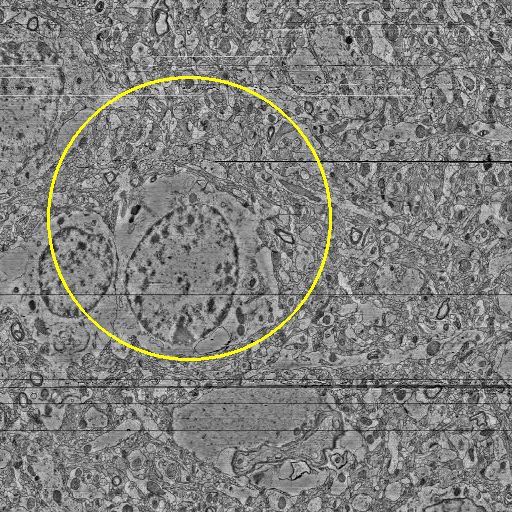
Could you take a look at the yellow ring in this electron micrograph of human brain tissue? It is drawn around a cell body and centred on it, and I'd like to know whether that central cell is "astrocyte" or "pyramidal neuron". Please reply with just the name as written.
astrocyte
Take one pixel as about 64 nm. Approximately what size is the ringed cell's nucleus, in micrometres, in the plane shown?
Approximately 9 by 7 micrometers in this plane.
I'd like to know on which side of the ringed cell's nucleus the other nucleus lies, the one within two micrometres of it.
The other nucleus is positioned to the left of it.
